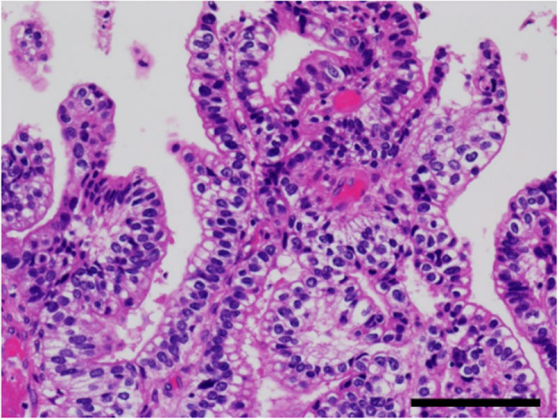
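This shows papillae and glands of a carcinoma lined by tall columnar tumour cells. The cells have pale to clear cytoplasm and large, oval, dark purple nuclei that are crowded and partly stratified. Thin fibrovascular cores with pink material run through the papillae, and the fronds project into empty lumens.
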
